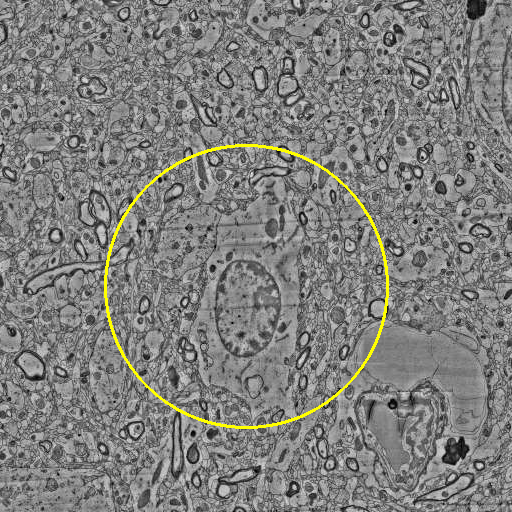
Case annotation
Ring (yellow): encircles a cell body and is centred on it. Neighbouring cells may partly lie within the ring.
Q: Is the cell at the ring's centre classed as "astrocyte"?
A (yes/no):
yes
